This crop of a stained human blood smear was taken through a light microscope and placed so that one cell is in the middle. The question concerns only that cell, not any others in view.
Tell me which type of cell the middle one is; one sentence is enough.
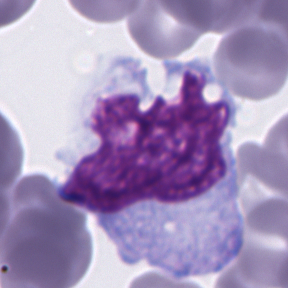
Whatever else lies nearby, the middle cell is a monocyte.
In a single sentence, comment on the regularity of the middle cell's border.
The cell shows an uneven border, formed by ragged areas or by outward projections.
